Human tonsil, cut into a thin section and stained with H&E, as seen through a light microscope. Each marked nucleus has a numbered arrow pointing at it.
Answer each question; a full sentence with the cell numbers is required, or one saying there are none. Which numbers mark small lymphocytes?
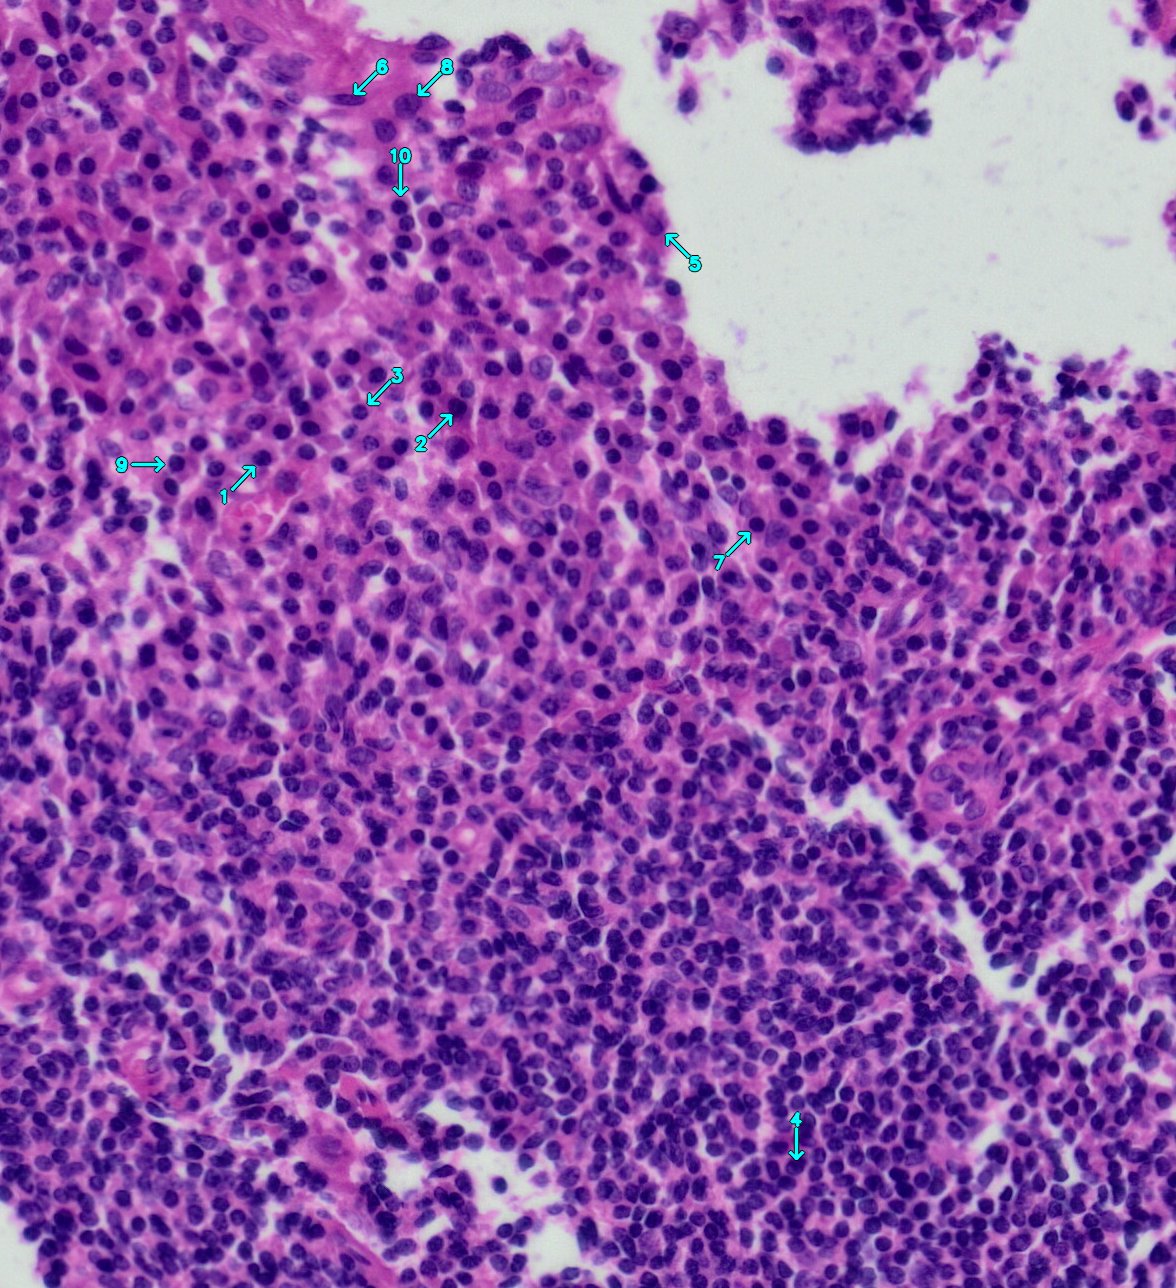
Cell 4 is a small lymphocyte, while all remaining marked cells are of other types.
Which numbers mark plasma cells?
The cells numbered 1, 2, 3, 7, 9 and 10 are, by type, plasma cells.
